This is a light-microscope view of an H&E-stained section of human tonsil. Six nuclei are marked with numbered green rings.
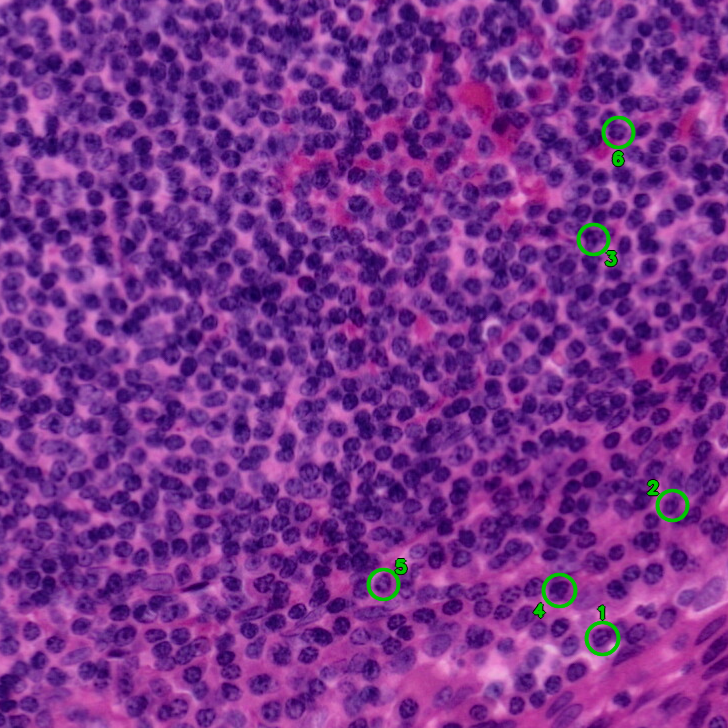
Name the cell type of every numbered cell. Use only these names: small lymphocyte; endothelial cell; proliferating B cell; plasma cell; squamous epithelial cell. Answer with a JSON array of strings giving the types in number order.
["plasma cell", "plasma cell", "small lymphocyte", "plasma cell", "plasma cell", "small lymphocyte"]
